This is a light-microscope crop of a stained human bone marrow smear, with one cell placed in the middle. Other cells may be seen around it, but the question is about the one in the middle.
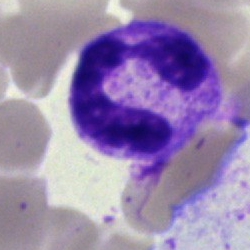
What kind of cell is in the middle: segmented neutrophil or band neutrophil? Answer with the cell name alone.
segmented neutrophil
